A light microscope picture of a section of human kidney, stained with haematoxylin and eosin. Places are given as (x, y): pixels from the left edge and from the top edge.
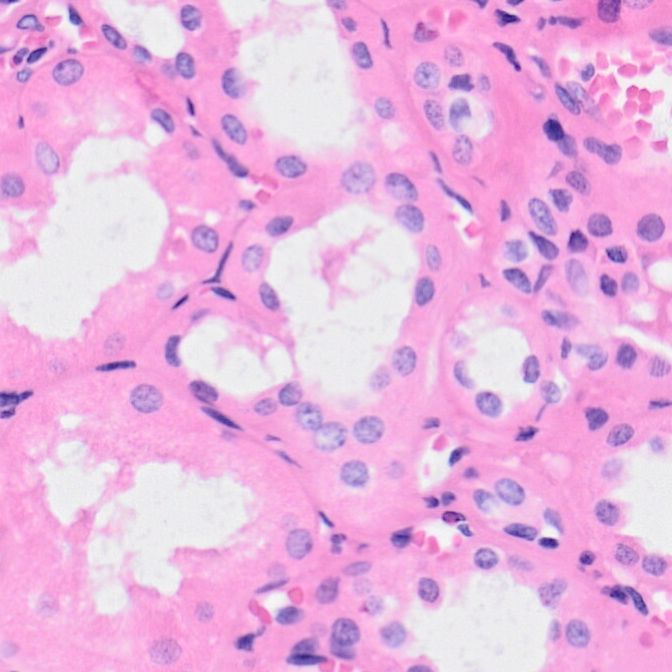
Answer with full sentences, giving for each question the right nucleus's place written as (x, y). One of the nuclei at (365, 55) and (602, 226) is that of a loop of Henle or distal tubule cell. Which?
The pair contains one nucleus of a loop of Henle or distal tubule cell, namely the one at (365, 55).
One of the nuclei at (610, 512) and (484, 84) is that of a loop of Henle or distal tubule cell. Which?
Lying within a loop of Henle or distal tubule cell is the nucleus at (610, 512).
